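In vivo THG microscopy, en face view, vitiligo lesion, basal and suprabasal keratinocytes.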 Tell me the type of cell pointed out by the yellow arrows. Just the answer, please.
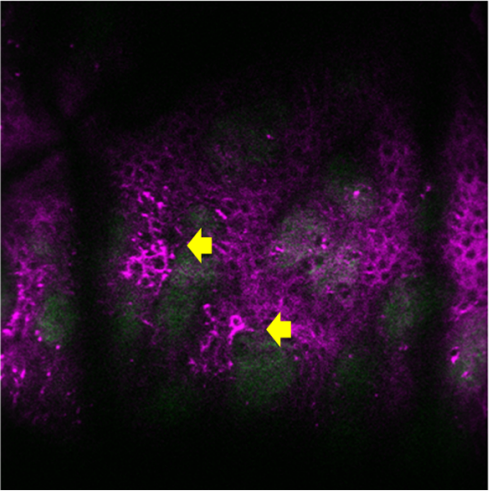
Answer: Dendritic melanocytes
